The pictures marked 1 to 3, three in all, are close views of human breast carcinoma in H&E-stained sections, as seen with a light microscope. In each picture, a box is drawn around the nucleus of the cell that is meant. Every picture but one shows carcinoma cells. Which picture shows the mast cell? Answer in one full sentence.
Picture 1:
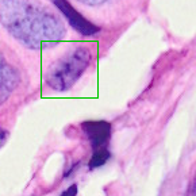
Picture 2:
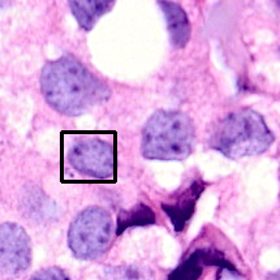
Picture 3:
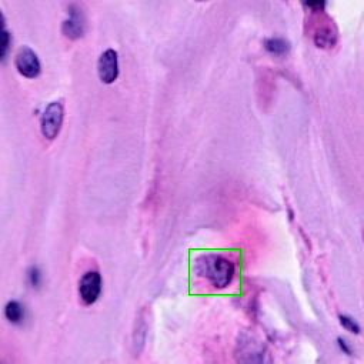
Picture 3 shows the mast cell.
